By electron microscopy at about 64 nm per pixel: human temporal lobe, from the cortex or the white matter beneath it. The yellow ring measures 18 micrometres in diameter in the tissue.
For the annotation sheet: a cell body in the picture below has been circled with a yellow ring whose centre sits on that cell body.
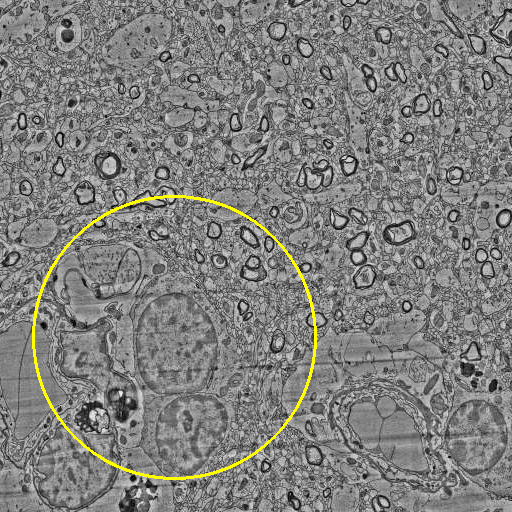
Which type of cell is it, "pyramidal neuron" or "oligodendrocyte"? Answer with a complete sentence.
The circled cell is an oligodendrocyte.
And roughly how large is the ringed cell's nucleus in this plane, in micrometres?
About 7 by 5 micrometers for the nucleus, in this plane.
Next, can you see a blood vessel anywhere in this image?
Yes, there is a blood vessel.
